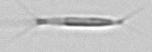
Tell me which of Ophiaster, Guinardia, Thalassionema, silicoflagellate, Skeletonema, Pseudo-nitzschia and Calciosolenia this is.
The picture shows Calciosolenia.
